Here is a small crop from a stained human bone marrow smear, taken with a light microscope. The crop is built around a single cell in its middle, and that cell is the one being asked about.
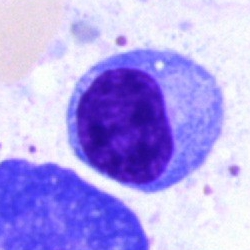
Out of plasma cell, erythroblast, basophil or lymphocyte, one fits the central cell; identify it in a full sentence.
At the center of the crop sits a lymphocyte.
